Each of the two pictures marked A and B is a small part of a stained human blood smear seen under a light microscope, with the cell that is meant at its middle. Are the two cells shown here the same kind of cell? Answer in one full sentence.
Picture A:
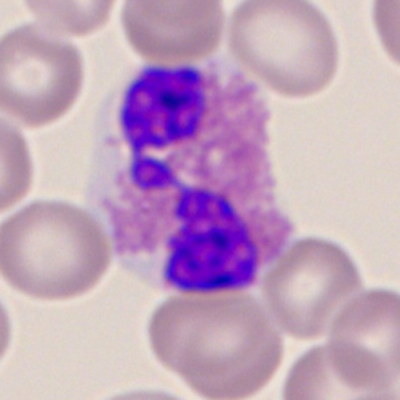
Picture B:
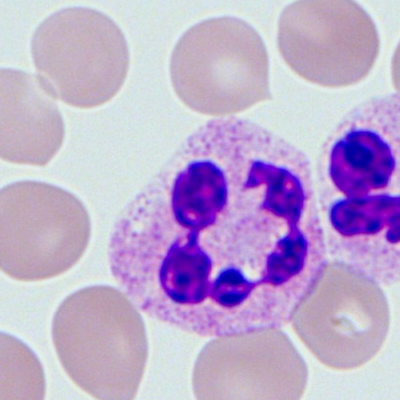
No, the types are not the same, since picture A shows an eosinophil and picture B a segmented neutrophil.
